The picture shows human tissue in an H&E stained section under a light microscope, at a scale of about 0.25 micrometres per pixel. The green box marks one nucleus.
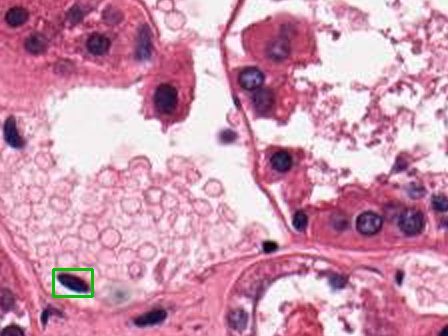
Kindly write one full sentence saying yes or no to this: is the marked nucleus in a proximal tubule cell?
No, the marked nucleus is contained in a supporting cell and not in a proximal tubule cell.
